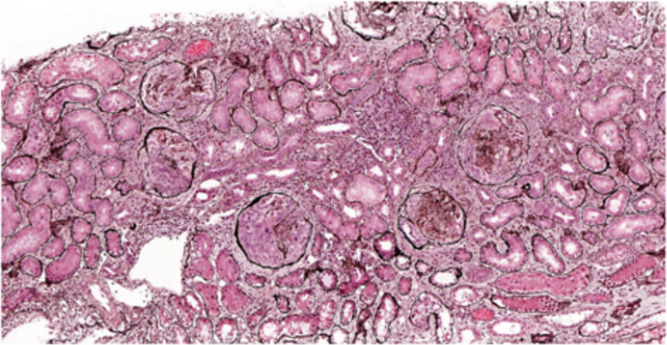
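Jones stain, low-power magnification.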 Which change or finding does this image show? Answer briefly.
Cellular crescents.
